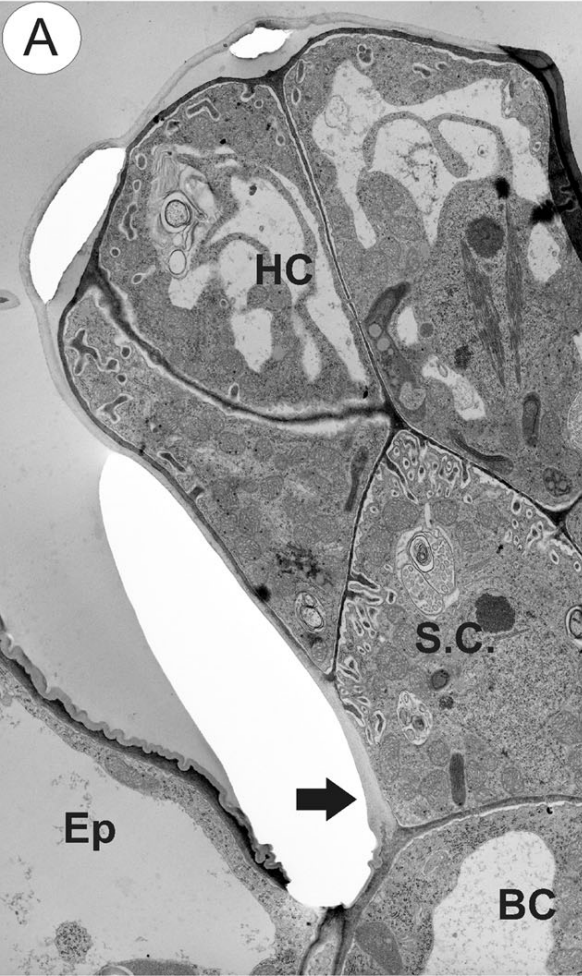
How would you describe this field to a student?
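A glandular hair in longitudinal section, made of several head cells on top, a single stalk cell below them and a basal cell at the base, with an epidermal cell of the surface at the lower left. The head cells have dense, granular cytoplasm interrupted by large irregular pale spaces, and their outer cuticle is lifted away from the wall in places. The stalk cell has dense cytoplasm with many small pale, looped profiles of wall ingrowths along its walls and a concentric membranous body. A side wall at the junction of the stalk cell appears markedly thickened and pale.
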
